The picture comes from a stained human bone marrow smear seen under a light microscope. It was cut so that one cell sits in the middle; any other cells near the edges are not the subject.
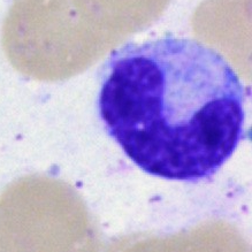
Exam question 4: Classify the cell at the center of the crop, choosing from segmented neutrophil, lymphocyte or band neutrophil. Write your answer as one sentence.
Framed in the middle of the crop is a band neutrophil.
